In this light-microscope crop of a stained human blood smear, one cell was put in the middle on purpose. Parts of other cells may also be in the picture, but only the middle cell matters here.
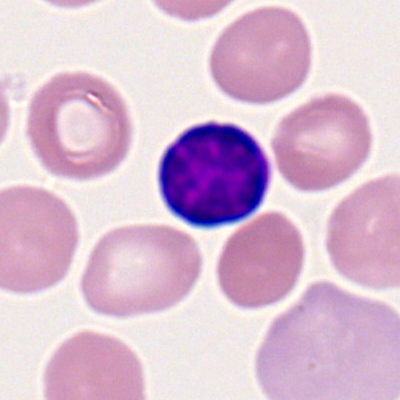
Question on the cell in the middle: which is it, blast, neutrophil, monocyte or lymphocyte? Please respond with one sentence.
In the middle of this smear crop is a lymphocyte.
